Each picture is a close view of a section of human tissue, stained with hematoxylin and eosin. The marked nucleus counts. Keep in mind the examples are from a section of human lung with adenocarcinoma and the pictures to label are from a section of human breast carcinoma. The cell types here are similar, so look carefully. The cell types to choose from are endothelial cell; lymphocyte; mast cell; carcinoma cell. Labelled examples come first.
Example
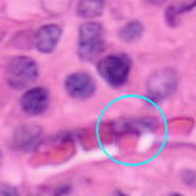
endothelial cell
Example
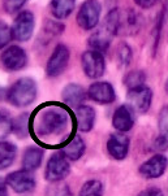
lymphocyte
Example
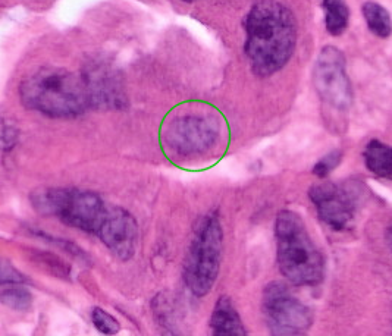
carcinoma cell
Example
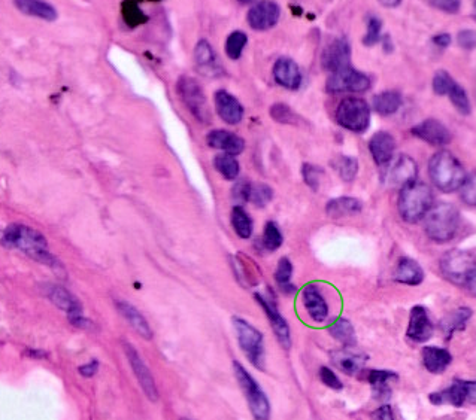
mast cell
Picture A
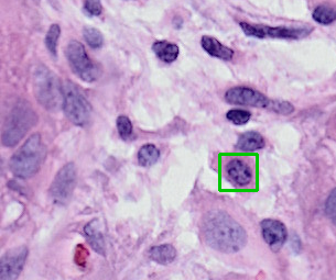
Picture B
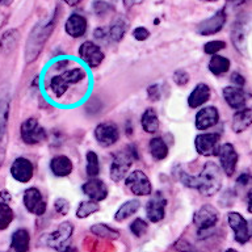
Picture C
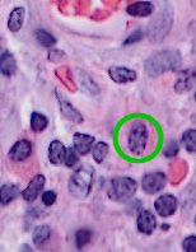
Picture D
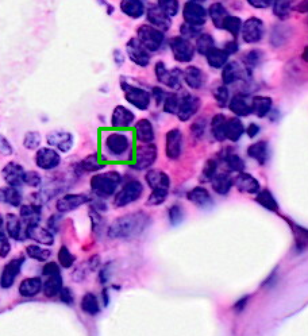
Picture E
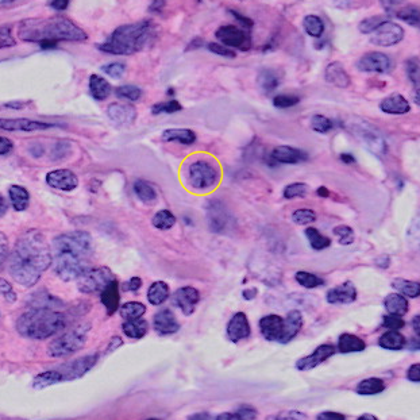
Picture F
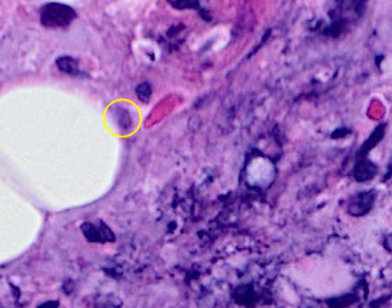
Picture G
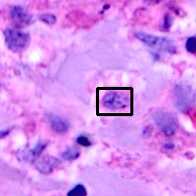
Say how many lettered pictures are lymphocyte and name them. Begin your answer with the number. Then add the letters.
2: B, D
